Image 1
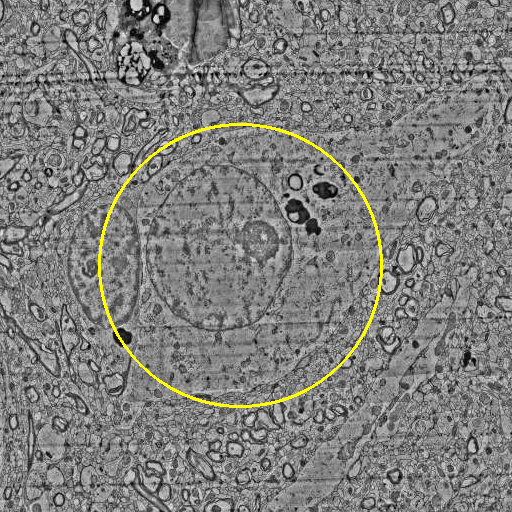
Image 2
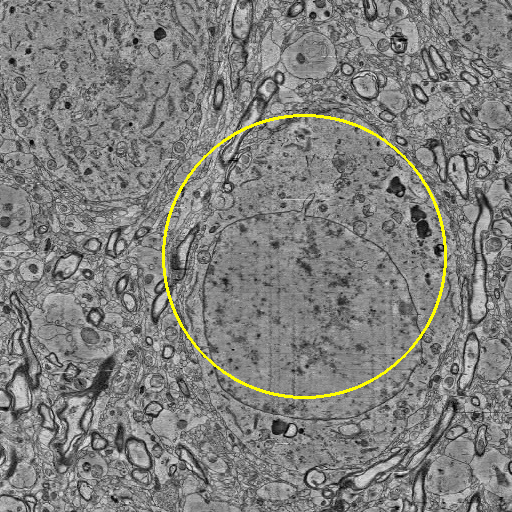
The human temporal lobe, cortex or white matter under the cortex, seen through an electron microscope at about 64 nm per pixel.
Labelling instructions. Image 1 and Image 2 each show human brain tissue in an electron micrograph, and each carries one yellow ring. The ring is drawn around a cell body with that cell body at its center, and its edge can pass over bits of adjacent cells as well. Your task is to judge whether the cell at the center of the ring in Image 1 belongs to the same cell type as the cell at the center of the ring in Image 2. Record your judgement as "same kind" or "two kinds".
same kind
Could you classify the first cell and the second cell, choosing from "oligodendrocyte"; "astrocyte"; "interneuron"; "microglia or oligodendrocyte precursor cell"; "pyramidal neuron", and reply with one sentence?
The cell in the first picture is a pyramidal neuron, and so is the one in the second.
